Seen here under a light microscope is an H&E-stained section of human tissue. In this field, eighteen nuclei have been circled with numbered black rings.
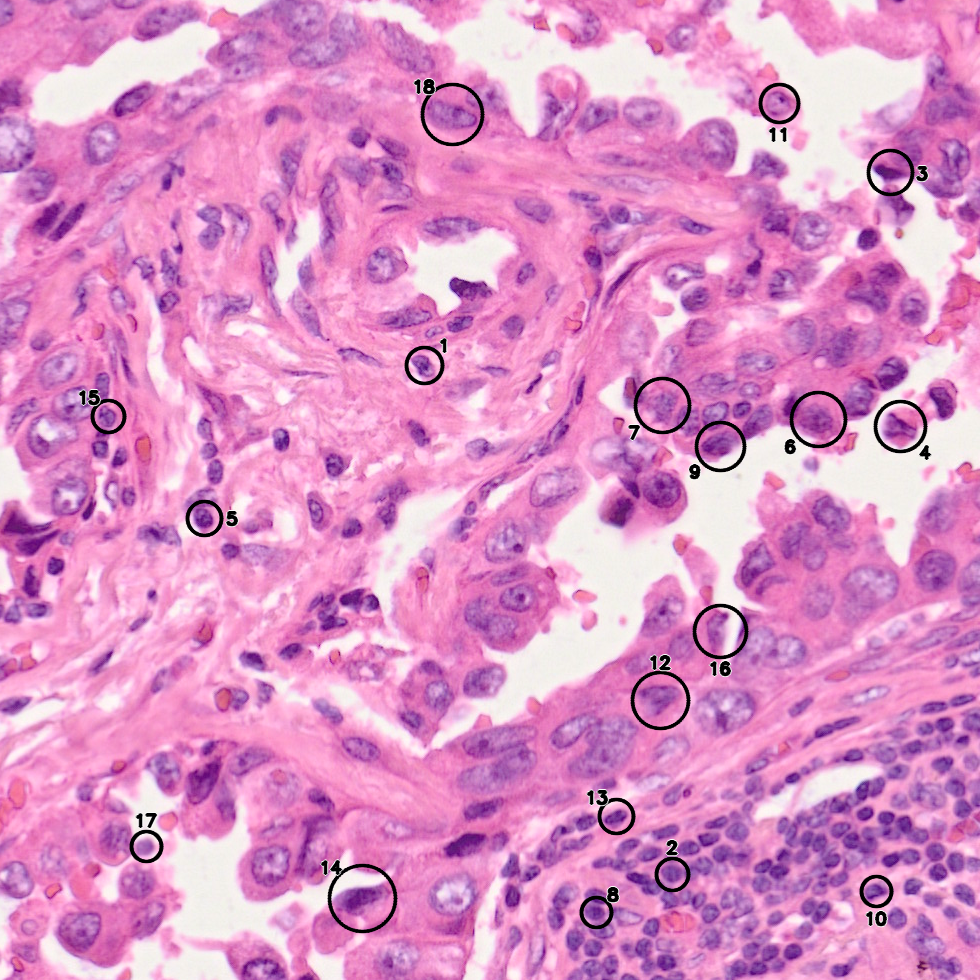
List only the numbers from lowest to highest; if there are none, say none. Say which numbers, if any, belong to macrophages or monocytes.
11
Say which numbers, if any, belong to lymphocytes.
1, 2, 5, 8, 10, 13, 15, 17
